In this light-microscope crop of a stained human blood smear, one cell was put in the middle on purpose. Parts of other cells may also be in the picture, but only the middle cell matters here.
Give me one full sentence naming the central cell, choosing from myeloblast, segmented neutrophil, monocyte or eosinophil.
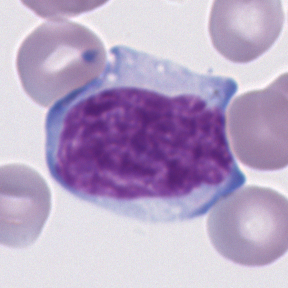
The cell centred in this crop is categorized as a myeloblast.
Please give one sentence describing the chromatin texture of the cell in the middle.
This nucleus has coarsely clumped chromatin.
